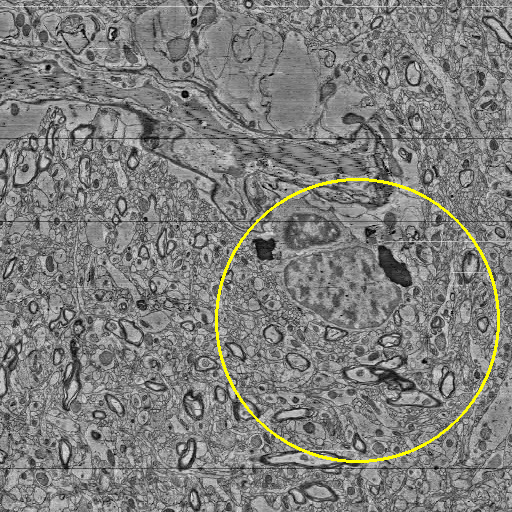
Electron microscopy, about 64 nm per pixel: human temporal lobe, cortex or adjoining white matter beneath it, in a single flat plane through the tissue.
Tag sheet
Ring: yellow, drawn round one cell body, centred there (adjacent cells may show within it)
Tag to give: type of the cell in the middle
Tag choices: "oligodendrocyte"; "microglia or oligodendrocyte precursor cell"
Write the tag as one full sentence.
I tag the cell centred in the yellow ring as an oligodendrocyte in this picture.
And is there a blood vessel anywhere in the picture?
Yes, there is a blood vessel.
